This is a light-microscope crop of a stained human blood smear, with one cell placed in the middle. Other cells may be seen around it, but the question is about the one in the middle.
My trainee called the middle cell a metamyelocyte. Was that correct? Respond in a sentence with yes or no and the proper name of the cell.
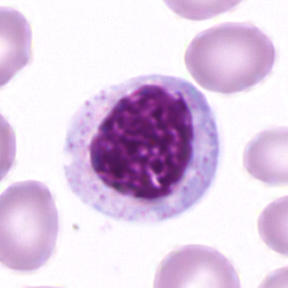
Yes, shown in the middle of the crop is a metamyelocyte.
